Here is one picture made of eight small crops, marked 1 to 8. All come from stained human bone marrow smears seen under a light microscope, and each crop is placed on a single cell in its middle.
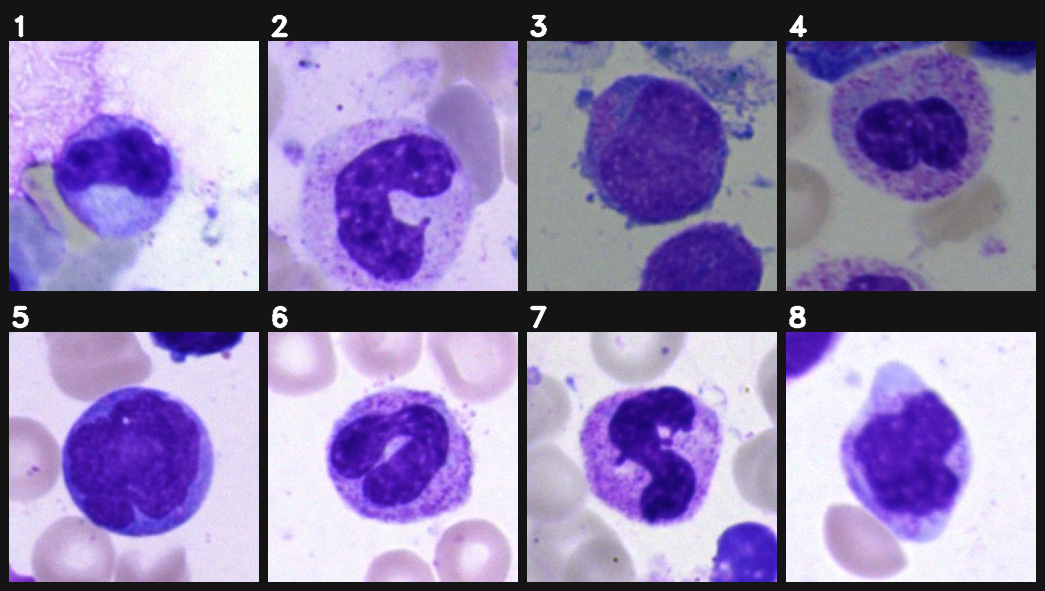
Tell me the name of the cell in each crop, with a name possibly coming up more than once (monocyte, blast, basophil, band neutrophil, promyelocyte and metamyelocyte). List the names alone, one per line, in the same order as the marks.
metamyelocyte
band neutrophil
blast
metamyelocyte
monocyte
band neutrophil
band neutrophil
monocyte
